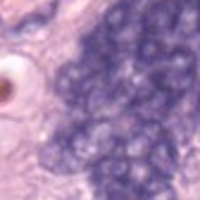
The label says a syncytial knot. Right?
Right.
